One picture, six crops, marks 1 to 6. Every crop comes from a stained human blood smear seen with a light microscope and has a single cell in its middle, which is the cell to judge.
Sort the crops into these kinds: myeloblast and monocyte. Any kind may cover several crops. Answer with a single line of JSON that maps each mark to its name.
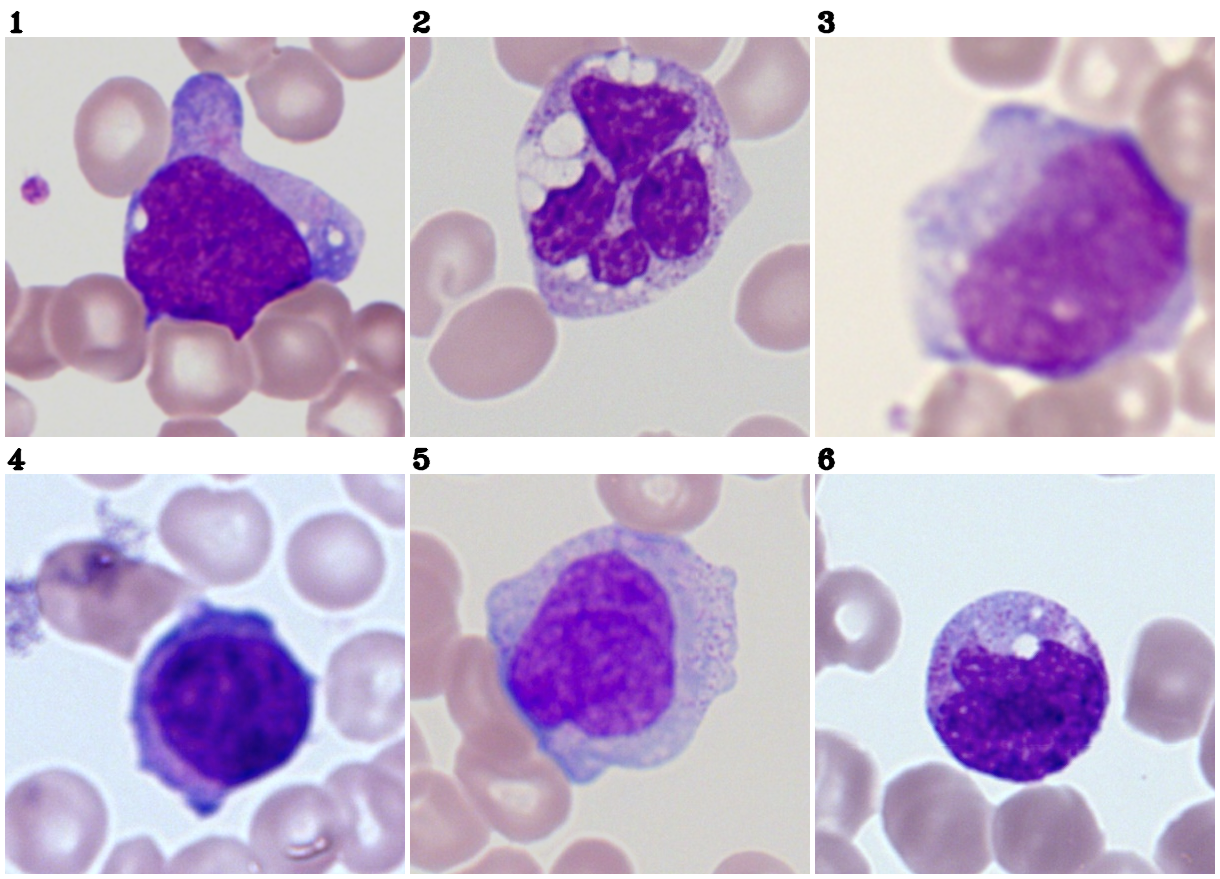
{"1": "myeloblast", "2": "monocyte", "3": "myeloblast", "4": "myeloblast", "5": "monocyte", "6": "monocyte"}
